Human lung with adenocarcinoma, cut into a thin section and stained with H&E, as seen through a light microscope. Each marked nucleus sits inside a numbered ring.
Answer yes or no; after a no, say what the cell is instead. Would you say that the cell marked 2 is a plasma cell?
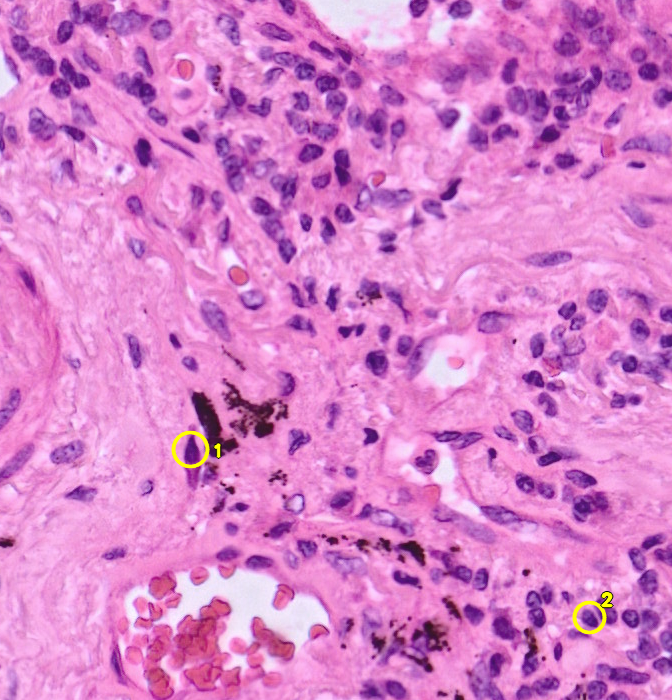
No, it is a lymphocyte.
